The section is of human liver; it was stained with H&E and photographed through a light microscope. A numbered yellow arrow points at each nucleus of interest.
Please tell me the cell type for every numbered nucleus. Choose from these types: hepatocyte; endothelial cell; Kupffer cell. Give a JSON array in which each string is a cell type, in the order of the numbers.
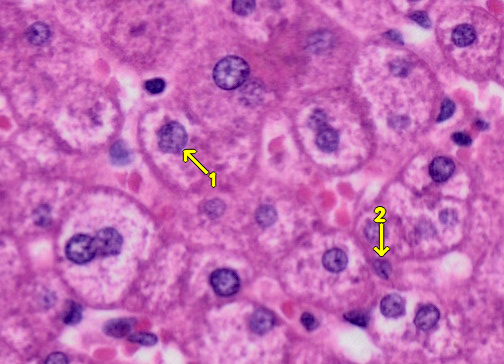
["hepatocyte", "endothelial cell"]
